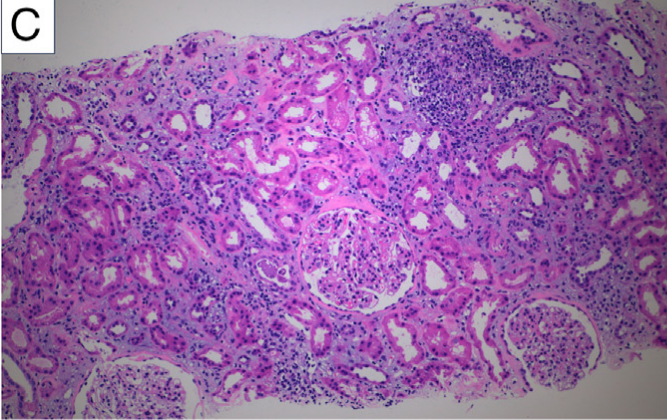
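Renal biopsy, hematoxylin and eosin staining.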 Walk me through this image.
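Kidney cortex at low power with pink-staining tubules and a few glomeruli. Many tubules have dilated lumens lined by thinned epithelium, and a dense focus of small dark round lymphocytes lies in the interstitium between the tubules.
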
